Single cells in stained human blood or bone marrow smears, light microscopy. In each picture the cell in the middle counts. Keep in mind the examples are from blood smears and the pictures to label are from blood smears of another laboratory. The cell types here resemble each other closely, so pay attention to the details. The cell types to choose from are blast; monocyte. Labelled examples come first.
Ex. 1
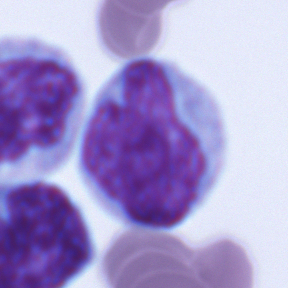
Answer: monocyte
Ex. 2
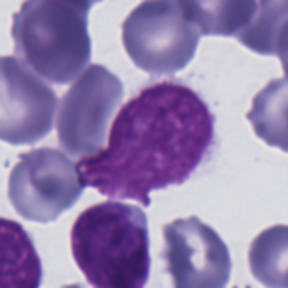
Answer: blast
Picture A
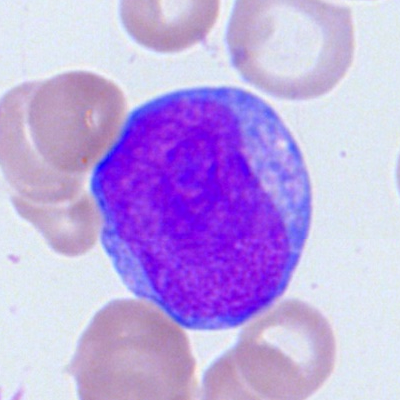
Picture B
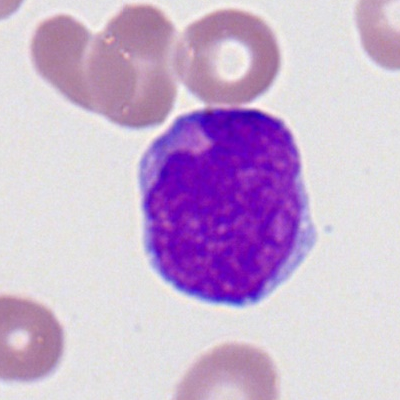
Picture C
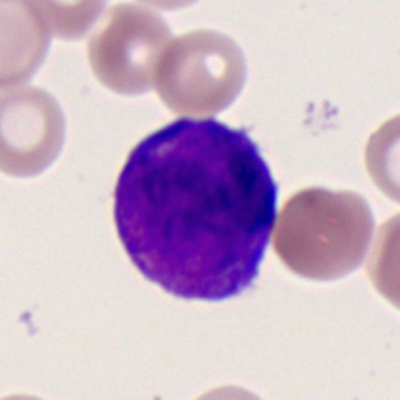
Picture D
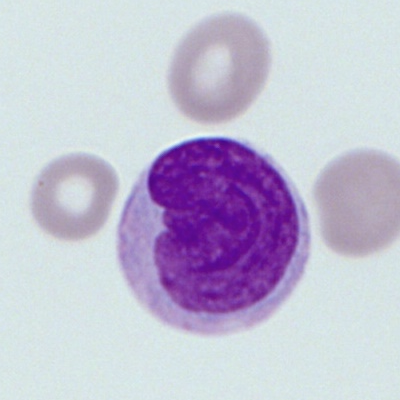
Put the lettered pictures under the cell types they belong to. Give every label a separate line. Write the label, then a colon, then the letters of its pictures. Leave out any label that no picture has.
blast: A, B, C, D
